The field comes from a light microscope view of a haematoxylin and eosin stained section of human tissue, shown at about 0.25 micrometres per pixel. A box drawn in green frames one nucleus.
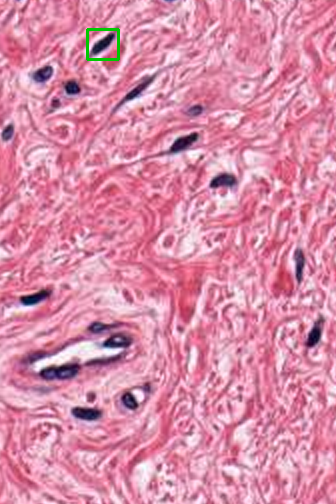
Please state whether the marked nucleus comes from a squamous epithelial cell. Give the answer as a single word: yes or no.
no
